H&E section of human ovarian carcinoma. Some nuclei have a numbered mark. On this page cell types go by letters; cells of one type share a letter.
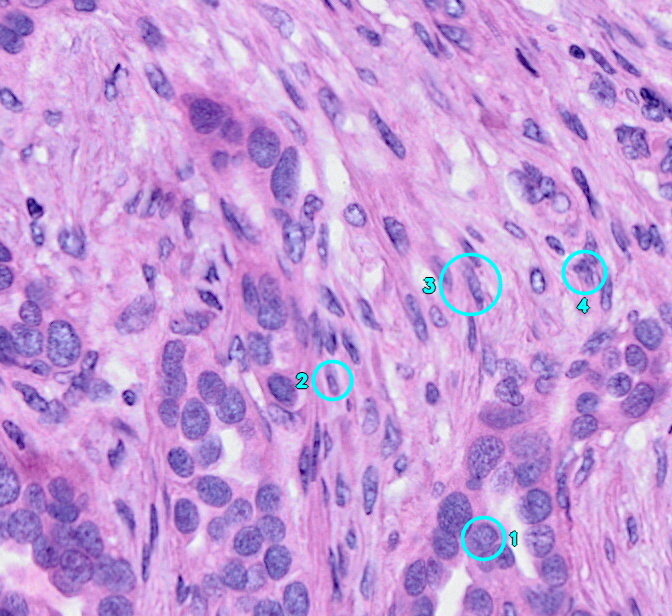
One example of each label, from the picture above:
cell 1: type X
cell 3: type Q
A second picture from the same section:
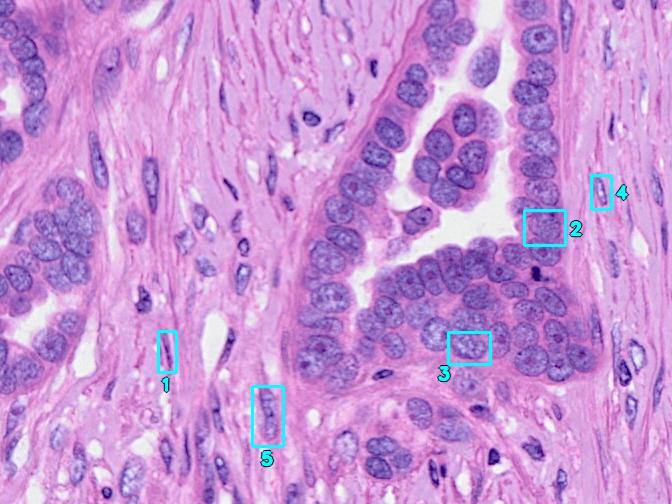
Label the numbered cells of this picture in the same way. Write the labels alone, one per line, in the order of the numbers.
type Q
type X
type X
type Q
type Q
